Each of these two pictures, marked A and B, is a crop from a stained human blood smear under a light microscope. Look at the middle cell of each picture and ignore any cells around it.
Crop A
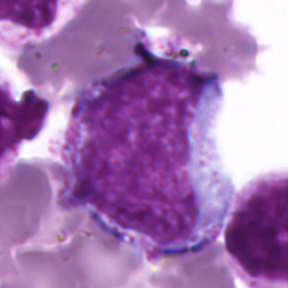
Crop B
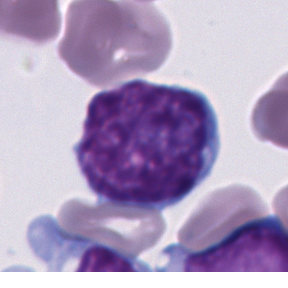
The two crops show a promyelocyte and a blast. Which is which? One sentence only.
Crop B shows a blast, and crop A shows a promyelocyte.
